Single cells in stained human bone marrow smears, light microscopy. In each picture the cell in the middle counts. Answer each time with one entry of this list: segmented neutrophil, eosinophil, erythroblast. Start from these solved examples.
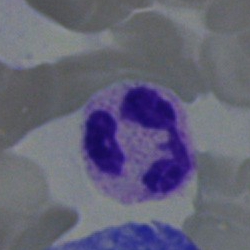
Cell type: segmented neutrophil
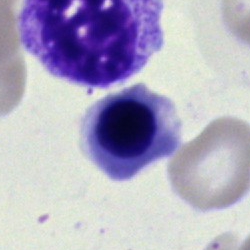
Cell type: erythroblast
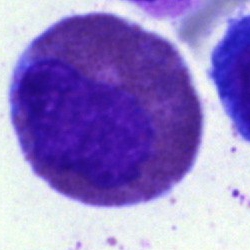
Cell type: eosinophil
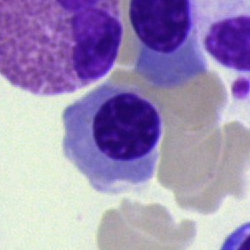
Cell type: erythroblast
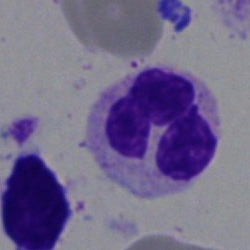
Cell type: segmented neutrophil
